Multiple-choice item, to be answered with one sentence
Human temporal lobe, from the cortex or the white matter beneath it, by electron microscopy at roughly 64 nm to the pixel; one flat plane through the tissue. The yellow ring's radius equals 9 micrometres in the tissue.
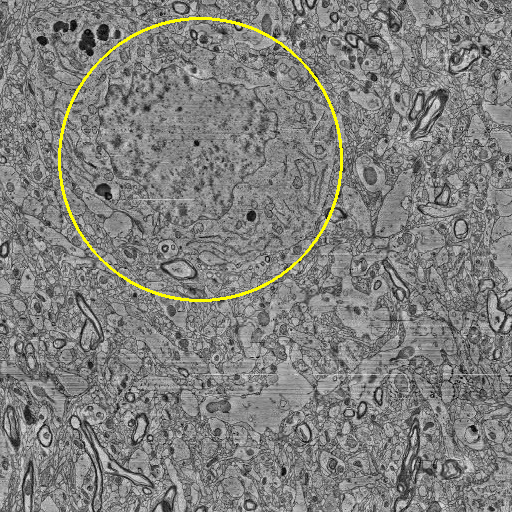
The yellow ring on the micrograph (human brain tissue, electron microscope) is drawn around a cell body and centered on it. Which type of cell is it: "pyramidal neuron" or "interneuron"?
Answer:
The ring is centered on an interneuron.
